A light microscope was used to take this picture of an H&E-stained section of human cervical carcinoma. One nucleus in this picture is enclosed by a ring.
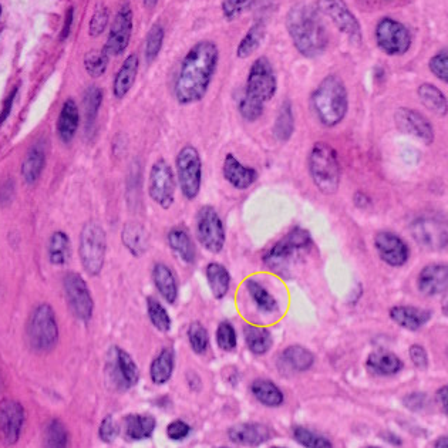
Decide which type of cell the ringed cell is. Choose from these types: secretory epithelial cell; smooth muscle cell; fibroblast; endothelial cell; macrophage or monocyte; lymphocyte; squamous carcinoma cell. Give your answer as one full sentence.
The ringed cell appears to be a squamous carcinoma cell.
